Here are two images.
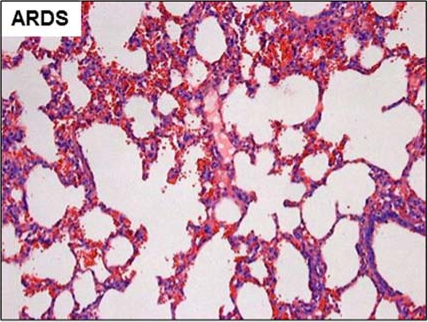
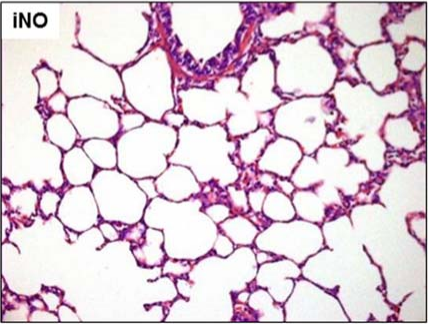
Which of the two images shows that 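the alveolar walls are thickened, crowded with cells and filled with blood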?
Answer: The first image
